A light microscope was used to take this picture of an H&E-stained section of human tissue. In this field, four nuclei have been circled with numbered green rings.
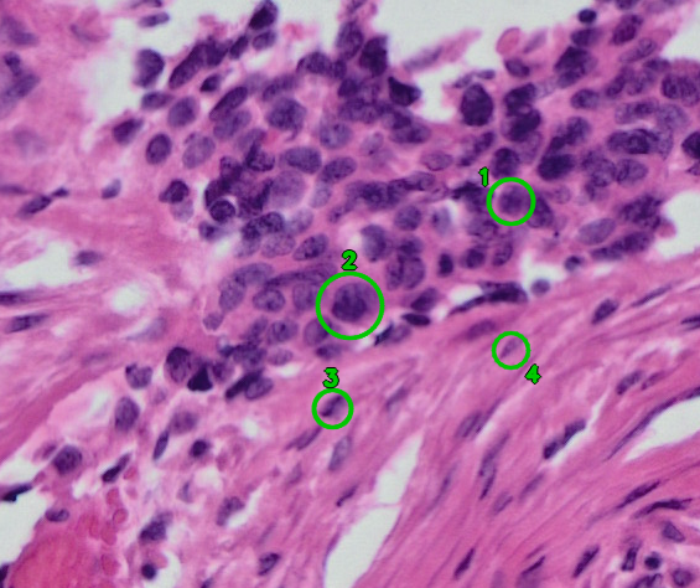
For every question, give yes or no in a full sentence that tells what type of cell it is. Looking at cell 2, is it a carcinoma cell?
Yes, the numbered cell 2 is identified as a carcinoma cell.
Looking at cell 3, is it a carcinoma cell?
No, cell 3 is not a carcinoma cell. It is a fibroblast.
